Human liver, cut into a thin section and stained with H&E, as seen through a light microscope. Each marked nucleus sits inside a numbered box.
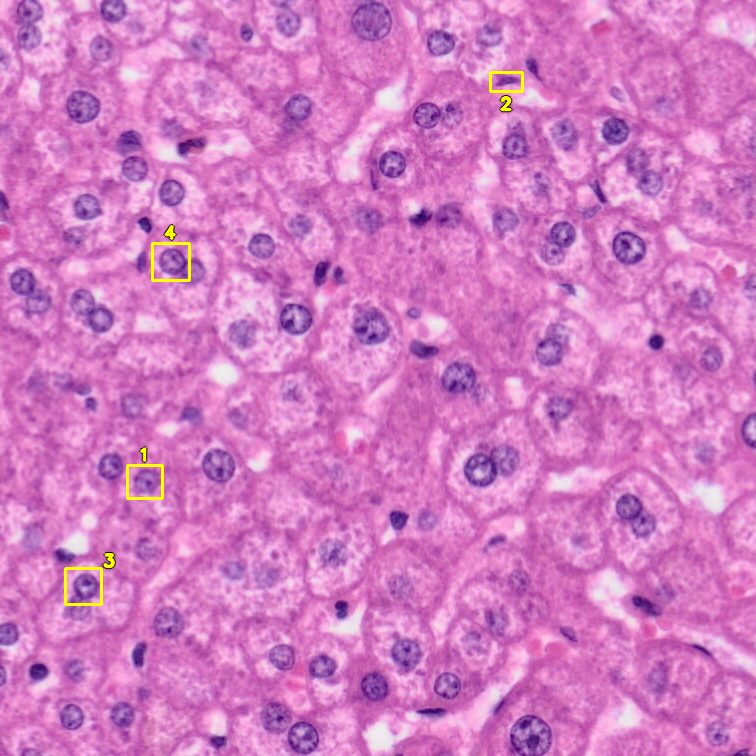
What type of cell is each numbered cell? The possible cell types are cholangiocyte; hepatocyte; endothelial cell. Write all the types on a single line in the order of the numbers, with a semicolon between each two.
hepatocyte; endothelial cell; hepatocyte; hepatocyte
